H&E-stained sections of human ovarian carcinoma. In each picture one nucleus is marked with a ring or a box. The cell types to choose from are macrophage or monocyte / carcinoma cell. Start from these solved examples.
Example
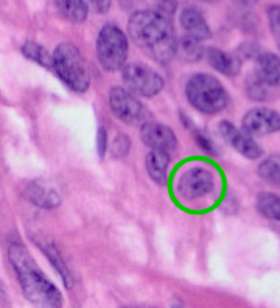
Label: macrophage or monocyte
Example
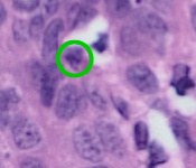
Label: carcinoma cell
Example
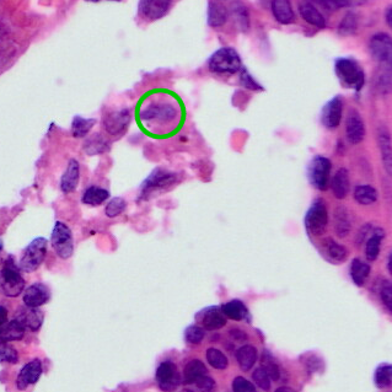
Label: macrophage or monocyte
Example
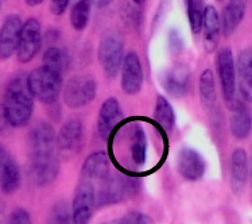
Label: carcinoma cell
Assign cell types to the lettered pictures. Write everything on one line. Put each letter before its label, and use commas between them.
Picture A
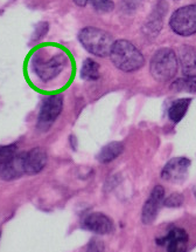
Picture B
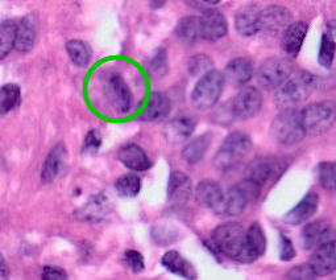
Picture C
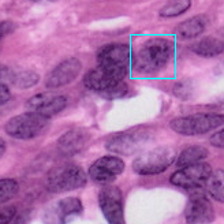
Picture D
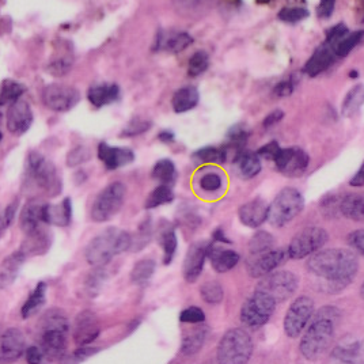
A macrophage or monocyte, B carcinoma cell, C carcinoma cell, D macrophage or monocyte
